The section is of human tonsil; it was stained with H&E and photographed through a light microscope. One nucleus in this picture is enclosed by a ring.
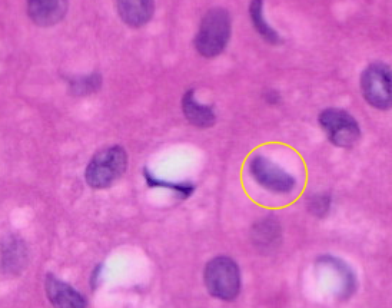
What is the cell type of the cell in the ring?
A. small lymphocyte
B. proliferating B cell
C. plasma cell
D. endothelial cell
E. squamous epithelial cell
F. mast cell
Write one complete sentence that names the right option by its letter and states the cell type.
Right answer, option E: the cell in the ring is a squamous epithelial cell.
